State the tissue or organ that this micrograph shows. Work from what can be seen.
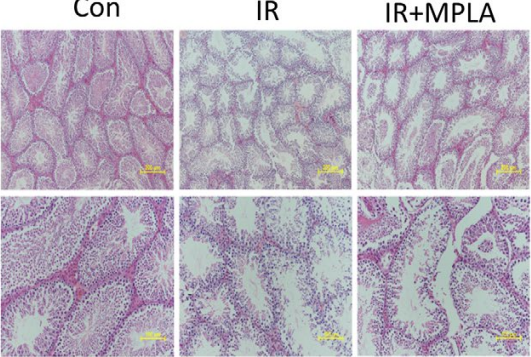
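Many round to oval tubule cross-sections packed side by side. Each tubule has a multilayered epithelium of purple nuclei around a central lumen. Pink-staining interstitial tissue lies between the tubules. That points to this answer: testis.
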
